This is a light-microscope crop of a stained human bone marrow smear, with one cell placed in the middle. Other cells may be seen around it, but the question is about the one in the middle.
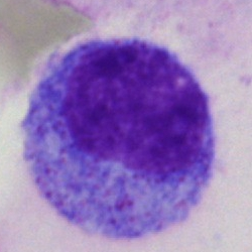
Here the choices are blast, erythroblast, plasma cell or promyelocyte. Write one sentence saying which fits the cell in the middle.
The cell centered in this field of view is a promyelocyte.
